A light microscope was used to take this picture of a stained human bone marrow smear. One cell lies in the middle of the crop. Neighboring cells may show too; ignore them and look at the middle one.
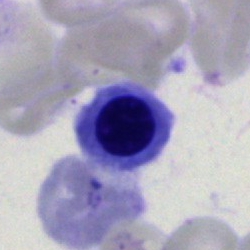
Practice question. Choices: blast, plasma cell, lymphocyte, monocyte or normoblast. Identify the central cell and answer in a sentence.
As for the central cell, it is a normoblast.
